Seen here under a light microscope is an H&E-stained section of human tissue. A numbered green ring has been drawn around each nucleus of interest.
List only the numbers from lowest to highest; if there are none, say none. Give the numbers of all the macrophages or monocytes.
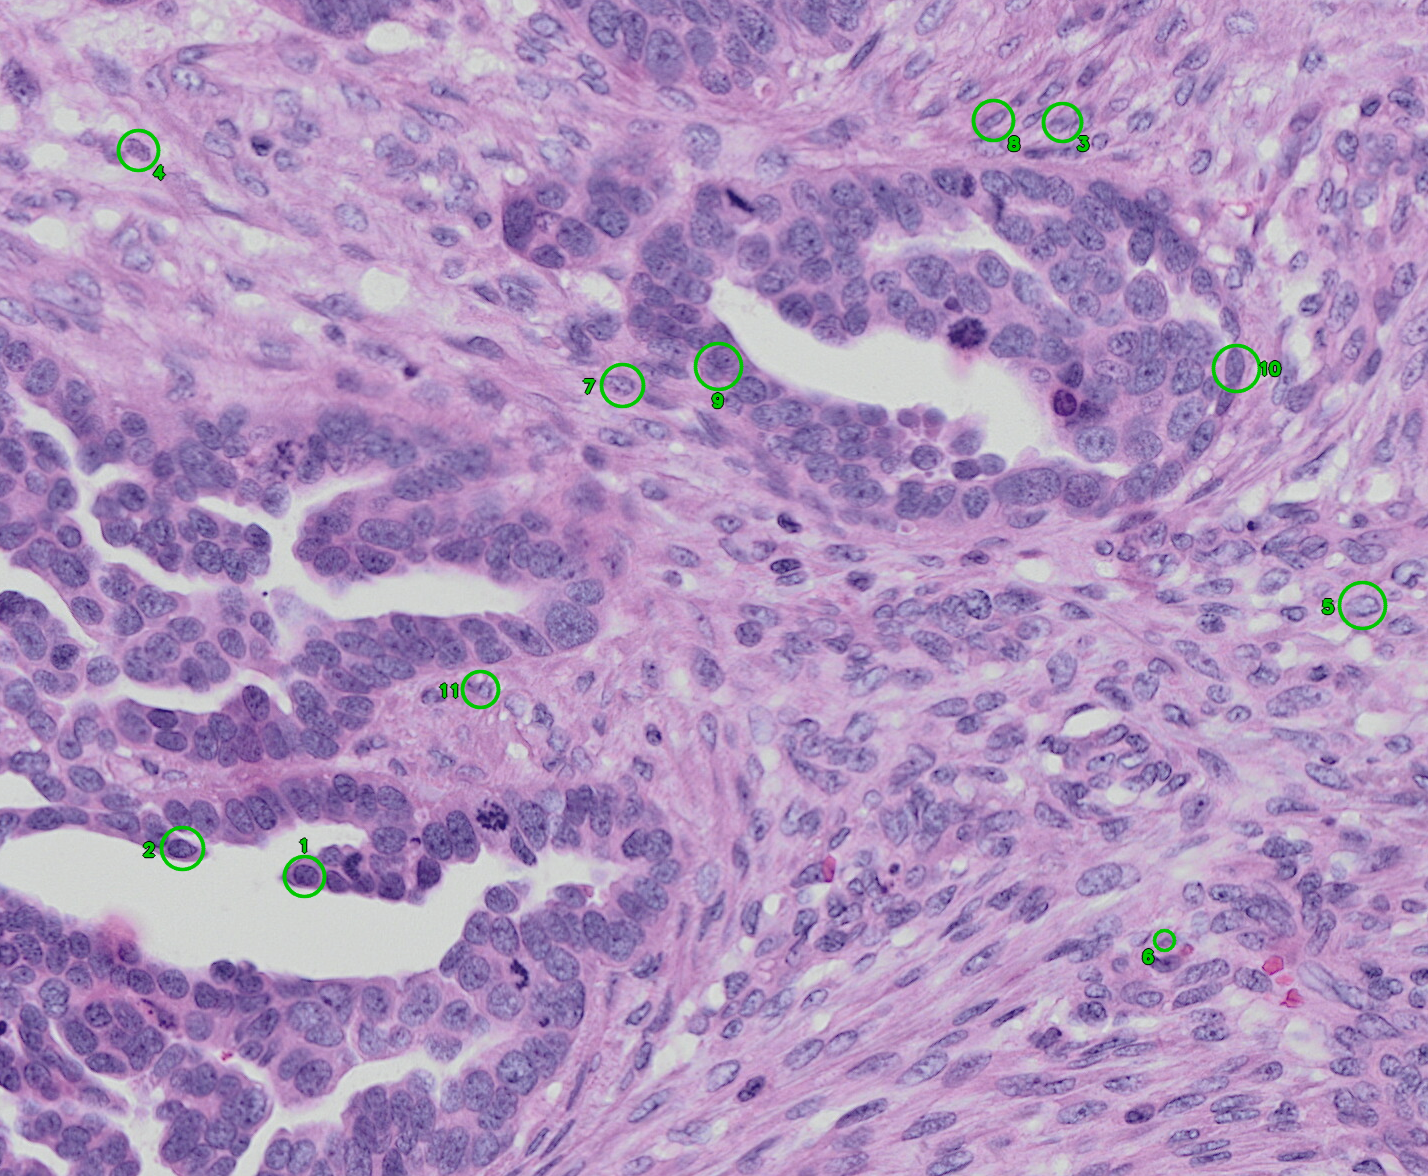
4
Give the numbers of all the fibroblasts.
3, 5, 6, 7, 8, 11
